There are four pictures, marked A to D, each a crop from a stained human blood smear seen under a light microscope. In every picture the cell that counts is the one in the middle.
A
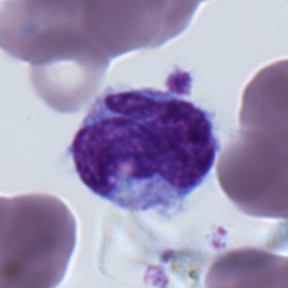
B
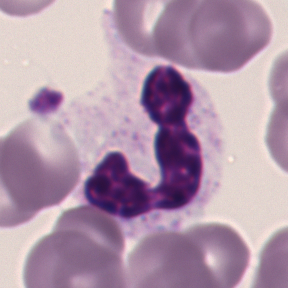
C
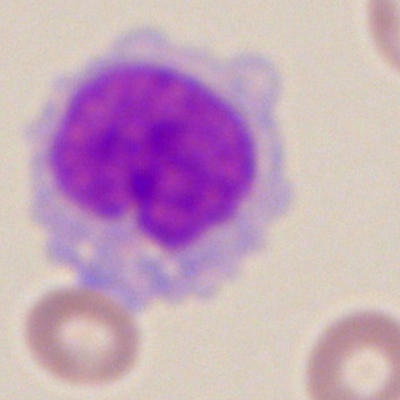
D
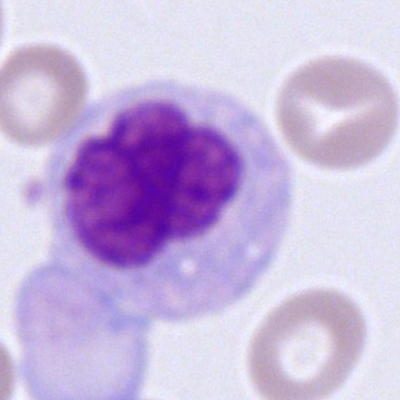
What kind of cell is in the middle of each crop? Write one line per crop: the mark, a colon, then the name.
A: monocyte
B: neutrophil
C: monocyte
D: monocyte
